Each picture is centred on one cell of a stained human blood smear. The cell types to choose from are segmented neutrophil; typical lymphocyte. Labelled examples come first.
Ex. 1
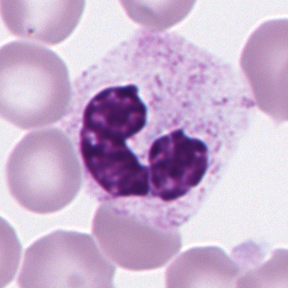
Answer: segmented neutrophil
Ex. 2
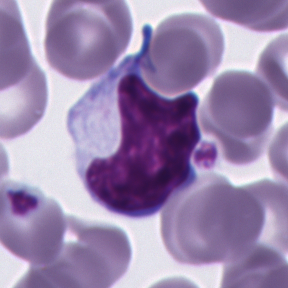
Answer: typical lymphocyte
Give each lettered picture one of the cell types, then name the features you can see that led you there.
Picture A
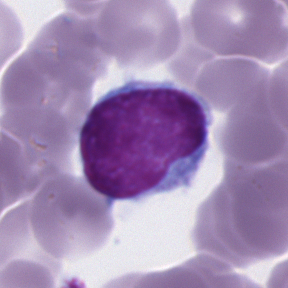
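typical lymphocyte. Reason: The nucleus fills most of the cell.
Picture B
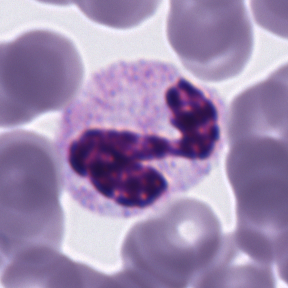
segmented neutrophil. Reason: The nucleus is a curved band made of two broad parts joined by a narrower neck.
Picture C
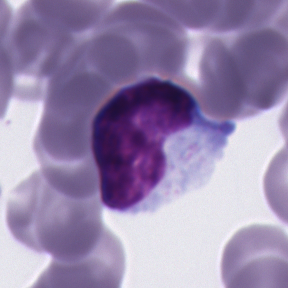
typical lymphocyte. Reason: The nucleus is broadly bean-shaped, with its indented side facing right toward the cytoplasm.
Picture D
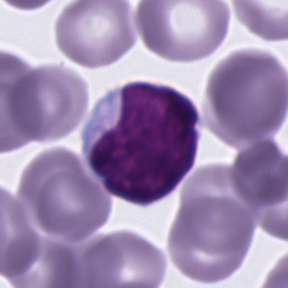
typical lymphocyte. Reason: The cytoplasm forms a narrow crescent on the upper-left side only.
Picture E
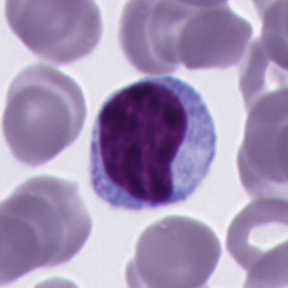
typical lymphocyte. Reason: The nucleus fills most of the cell and sits toward the left.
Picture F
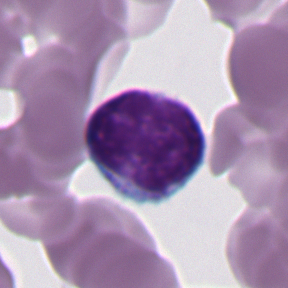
typical lymphocyte. Reason: The cytoplasm is a narrow pale blue crescent seen mainly at the lower left edge.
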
